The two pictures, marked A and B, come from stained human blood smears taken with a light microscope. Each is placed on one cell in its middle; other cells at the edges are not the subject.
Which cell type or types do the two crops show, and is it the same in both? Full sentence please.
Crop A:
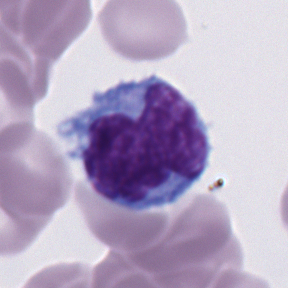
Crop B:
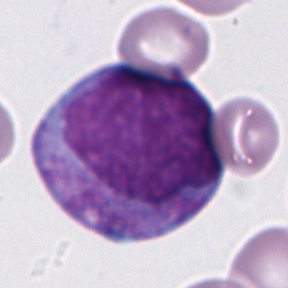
No, crop A displays a monocyte, and crop B displays a promyelocyte.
